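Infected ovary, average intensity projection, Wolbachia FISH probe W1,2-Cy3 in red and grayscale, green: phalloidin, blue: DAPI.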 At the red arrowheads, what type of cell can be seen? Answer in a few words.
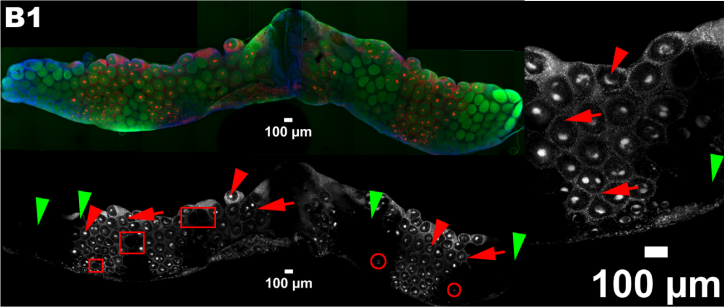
Oocytes.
